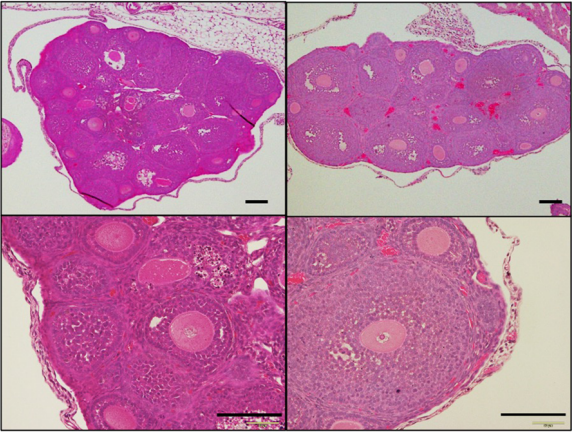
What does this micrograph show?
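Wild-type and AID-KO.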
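These are sections of ovaries, shown whole at low magnification and in part at higher magnification, stained pink and purple. Around the oocytes lie several layers of small, closely packed cells with purple nuclei, and in some follicles small clear spaces open among these cells. A thin membrane encloses the organ, with loose tissue outside it.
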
